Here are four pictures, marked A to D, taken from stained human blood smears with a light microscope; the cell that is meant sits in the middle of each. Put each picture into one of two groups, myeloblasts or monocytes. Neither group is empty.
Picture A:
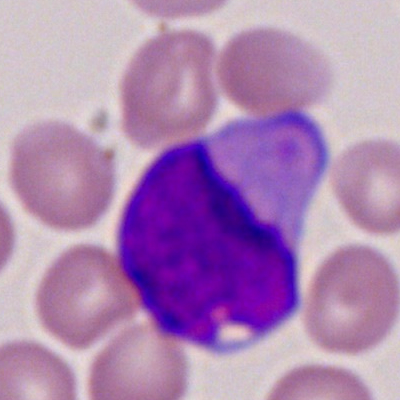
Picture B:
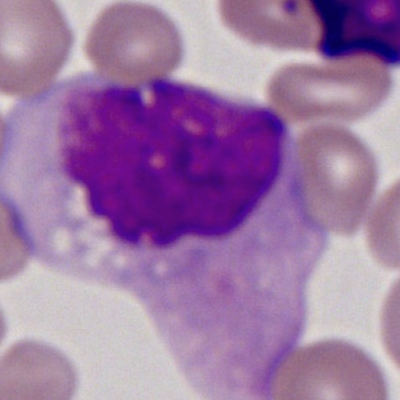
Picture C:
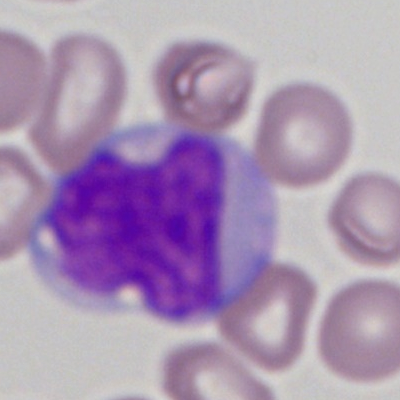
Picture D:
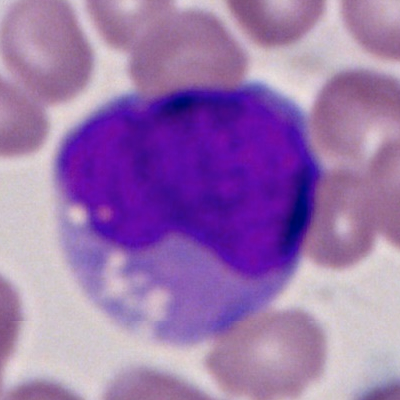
A: myeloblast
B: monocyte
C: monocyte
D: myeloblast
